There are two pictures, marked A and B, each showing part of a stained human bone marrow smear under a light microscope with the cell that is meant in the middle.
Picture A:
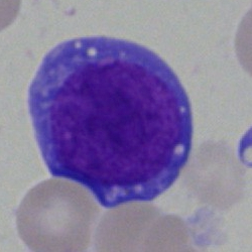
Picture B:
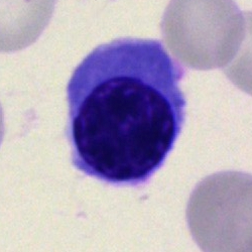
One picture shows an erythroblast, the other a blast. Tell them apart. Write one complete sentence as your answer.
Picture A shows a blast and picture B shows an erythroblast.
